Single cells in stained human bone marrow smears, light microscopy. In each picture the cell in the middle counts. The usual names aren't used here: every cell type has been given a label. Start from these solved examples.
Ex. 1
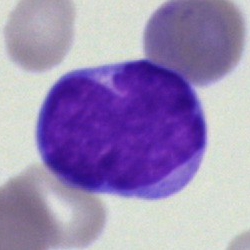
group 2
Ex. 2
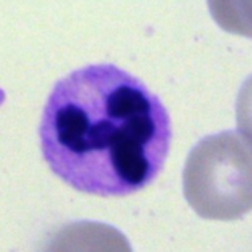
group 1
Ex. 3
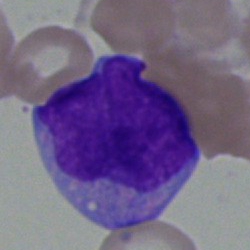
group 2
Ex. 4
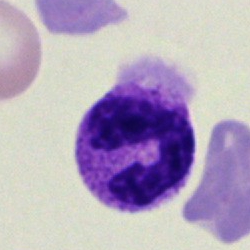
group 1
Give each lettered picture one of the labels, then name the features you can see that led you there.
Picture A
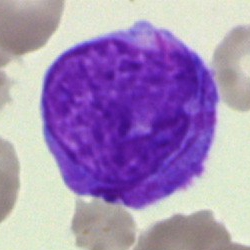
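group 2. Evidence: The cytoplasm is a scant thin rim of deep blue-violet.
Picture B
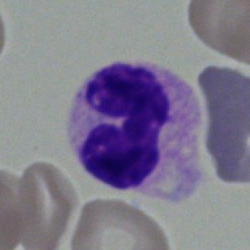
group 1. Evidence: The chromatin is dark purple and coarsely clumped.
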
